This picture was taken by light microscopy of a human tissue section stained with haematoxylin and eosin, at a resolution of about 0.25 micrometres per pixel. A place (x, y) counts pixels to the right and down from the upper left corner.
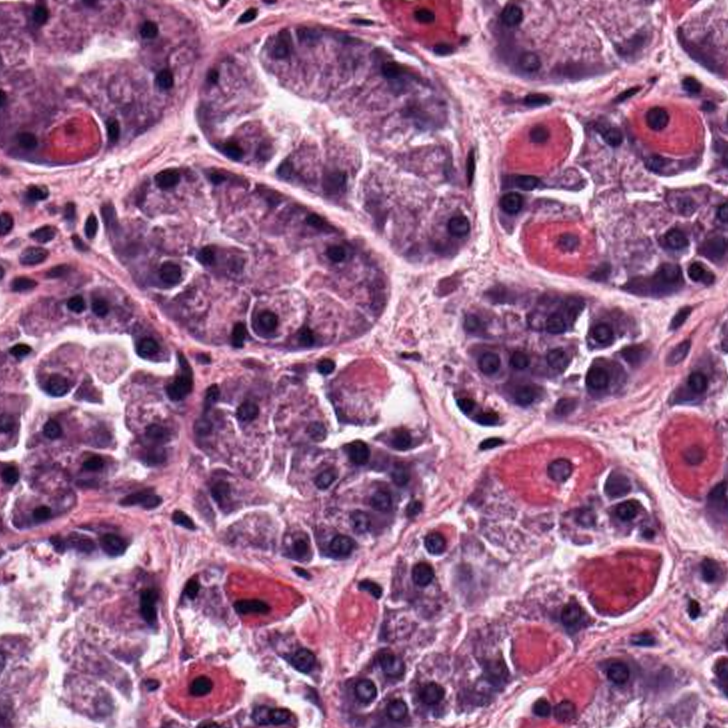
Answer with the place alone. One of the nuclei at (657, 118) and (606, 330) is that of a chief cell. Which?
(606, 330)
